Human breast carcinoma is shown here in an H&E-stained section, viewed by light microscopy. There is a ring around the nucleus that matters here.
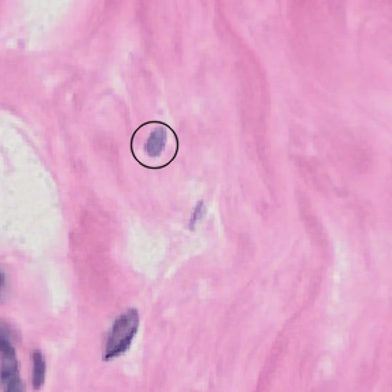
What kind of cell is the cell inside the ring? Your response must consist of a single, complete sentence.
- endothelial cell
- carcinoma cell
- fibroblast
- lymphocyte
The identity of the cell inside the ring is that of a lymphocyte.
